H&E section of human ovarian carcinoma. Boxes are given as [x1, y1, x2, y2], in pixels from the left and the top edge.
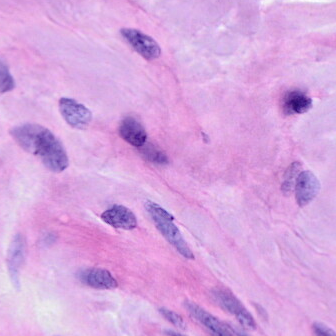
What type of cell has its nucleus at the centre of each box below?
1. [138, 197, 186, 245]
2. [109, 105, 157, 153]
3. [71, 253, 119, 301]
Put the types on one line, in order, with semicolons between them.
smooth muscle cell; endothelial cell; smooth muscle cell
